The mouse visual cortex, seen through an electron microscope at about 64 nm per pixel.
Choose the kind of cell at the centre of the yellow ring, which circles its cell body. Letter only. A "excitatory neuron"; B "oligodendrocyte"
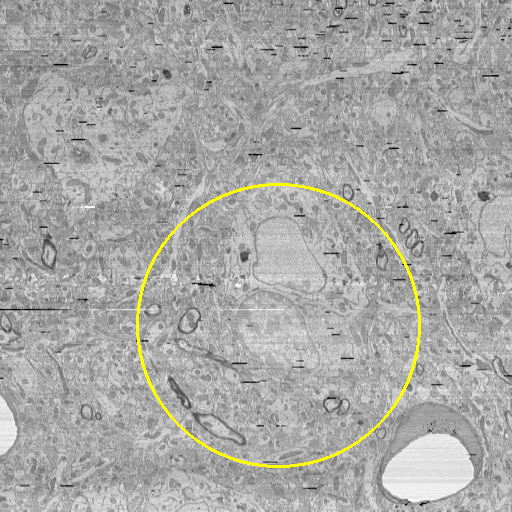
B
